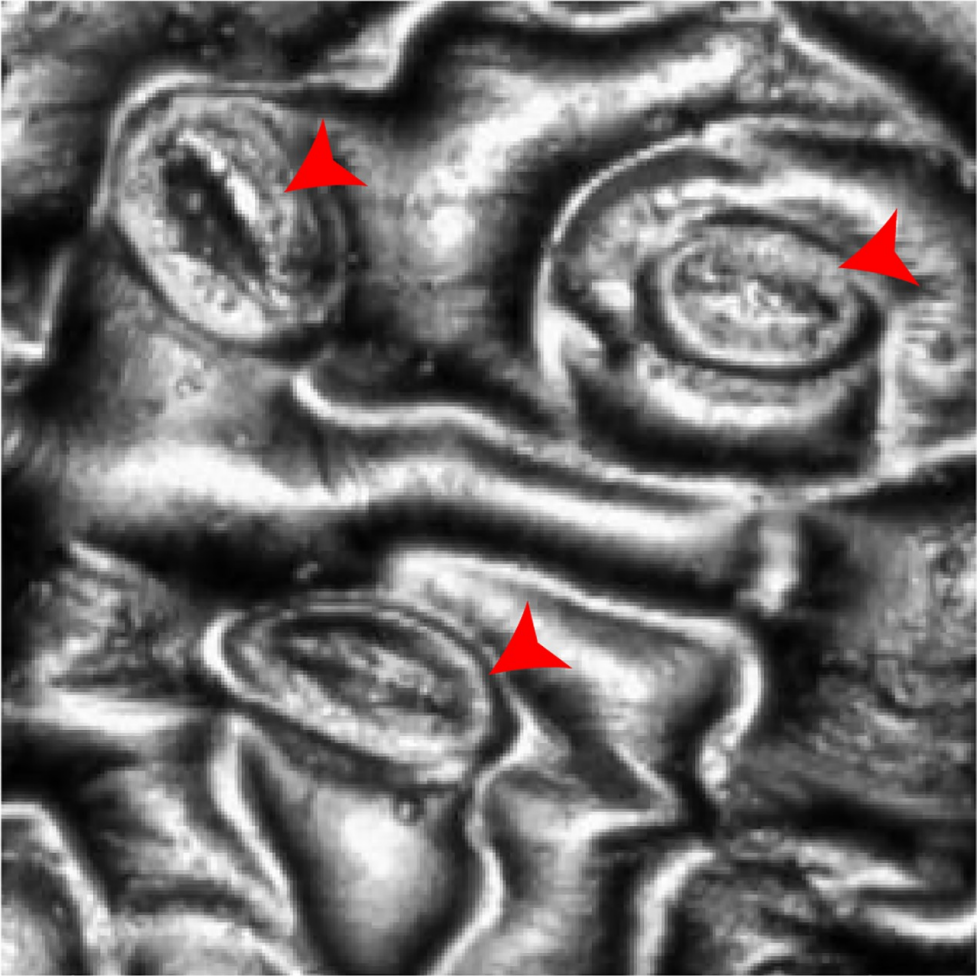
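Leaf epidermis seen from the surface in a grayscale reflected image, showing pavement cells and stomata. The pavement cells are large and irregular, with strongly wavy, interlocking walls that show as bright and dark ridges, so the surface looks like a jigsaw puzzle. Three stomata lie scattered among them. Each is elliptical and is formed by a pair of curved guard cells that enclose a central slit-like pore. The guard cells look finely granular. The stomata differ in orientation; one is tilted and two lie roughly horizontal. Around each stoma the neighbouring cell walls curve to fit its outline. No nuclei can be made out.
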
